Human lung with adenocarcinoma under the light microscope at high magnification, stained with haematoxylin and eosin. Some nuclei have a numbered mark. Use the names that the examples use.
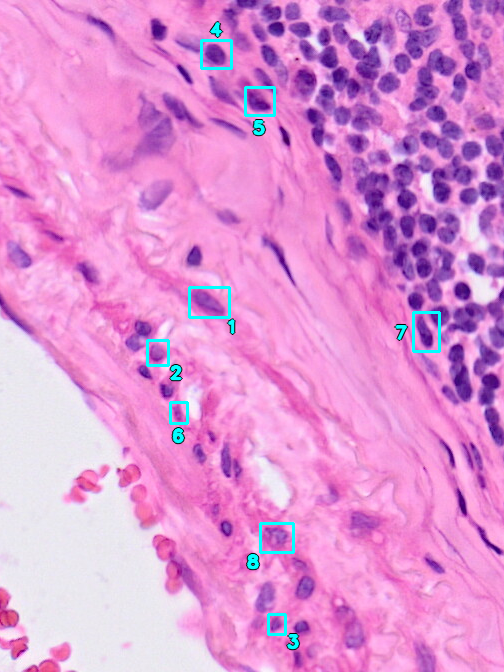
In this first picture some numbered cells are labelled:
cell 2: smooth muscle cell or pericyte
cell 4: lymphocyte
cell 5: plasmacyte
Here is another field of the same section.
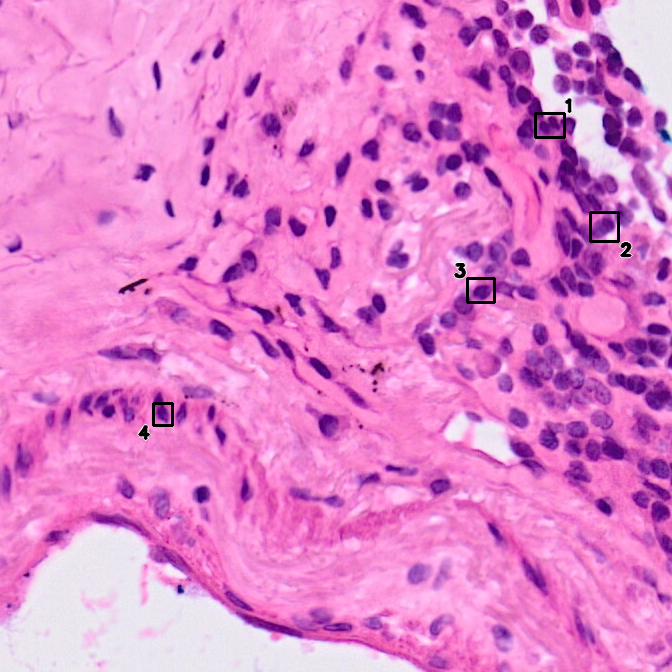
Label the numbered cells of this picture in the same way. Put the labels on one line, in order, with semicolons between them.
lymphocyte; lymphocyte; lymphocyte; smooth muscle cell or pericyte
